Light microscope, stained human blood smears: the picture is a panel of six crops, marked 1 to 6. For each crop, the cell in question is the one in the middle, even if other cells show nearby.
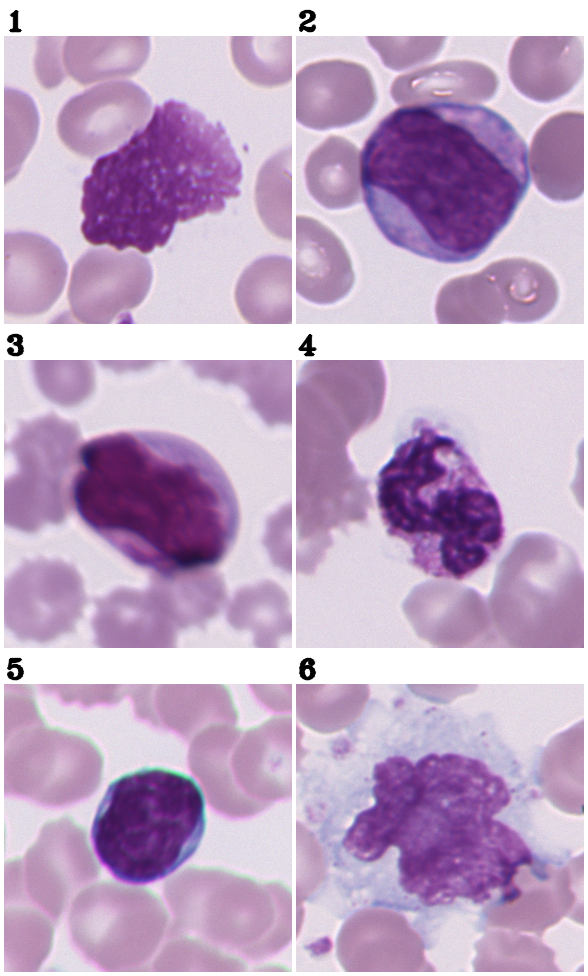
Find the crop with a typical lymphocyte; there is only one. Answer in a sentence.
Identified crop: 5, the one that shows a typical lymphocyte.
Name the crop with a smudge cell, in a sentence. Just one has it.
Selected crop: 1, which is the one that shows a smudge cell.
